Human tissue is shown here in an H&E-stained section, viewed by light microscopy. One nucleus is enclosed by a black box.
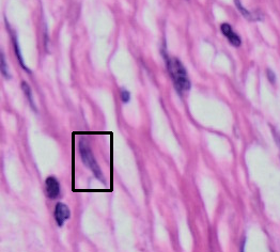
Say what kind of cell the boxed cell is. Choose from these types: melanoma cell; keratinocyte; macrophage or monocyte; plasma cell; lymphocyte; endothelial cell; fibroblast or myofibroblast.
fibroblast or myofibroblast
